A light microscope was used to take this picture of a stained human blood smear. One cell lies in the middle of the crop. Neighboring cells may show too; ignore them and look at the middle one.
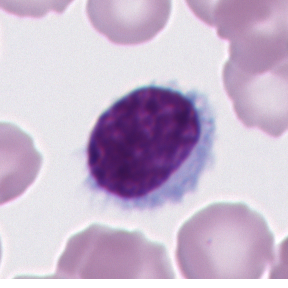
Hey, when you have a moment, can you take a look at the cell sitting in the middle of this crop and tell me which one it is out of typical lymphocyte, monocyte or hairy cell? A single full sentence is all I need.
What the crop centres on is a hairy cell.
